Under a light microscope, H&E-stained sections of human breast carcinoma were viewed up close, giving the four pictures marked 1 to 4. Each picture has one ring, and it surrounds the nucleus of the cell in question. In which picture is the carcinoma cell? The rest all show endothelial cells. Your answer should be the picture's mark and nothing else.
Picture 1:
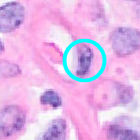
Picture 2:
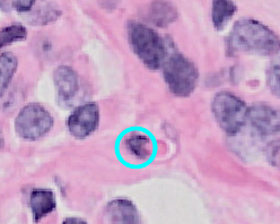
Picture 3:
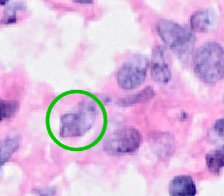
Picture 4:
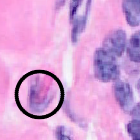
3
